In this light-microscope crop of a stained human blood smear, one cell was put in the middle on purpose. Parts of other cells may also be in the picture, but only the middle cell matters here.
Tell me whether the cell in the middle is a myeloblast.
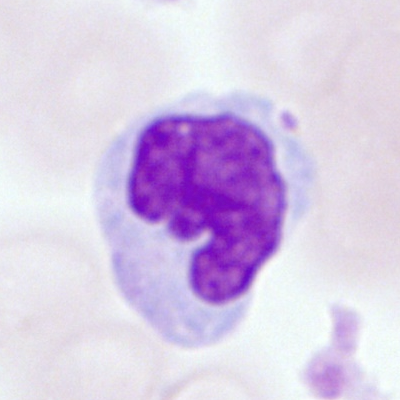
no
